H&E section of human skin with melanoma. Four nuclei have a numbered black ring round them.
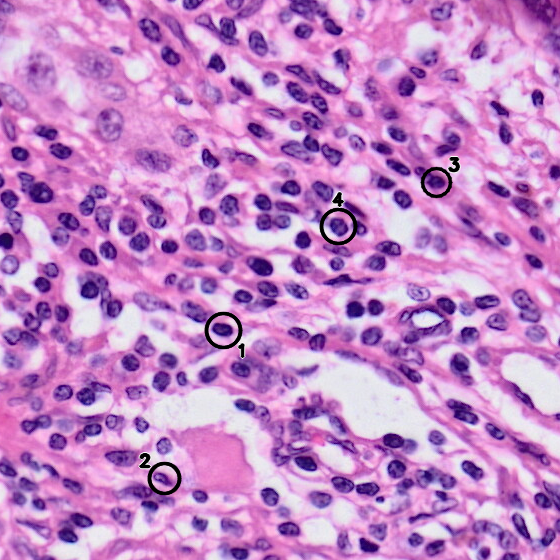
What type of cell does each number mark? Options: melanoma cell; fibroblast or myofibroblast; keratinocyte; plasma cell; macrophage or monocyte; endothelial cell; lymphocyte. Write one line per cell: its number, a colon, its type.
1: lymphocyte
2: lymphocyte
3: plasma cell
4: lymphocyte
